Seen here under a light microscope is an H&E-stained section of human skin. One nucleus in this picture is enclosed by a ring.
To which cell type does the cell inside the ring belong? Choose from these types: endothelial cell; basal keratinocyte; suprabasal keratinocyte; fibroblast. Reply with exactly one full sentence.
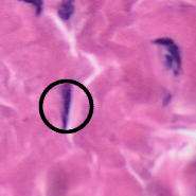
Histopathologically, the cell inside the ring is a fibroblast.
